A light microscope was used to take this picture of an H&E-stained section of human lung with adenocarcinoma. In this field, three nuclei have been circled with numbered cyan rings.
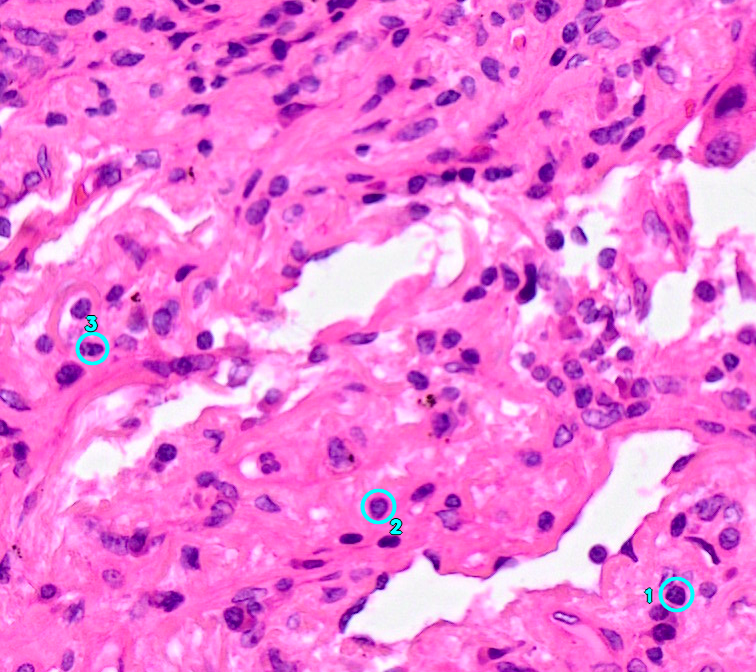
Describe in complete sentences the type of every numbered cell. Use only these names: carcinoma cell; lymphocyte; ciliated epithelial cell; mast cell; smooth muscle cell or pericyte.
Cell 1 is a lymphocyte, cell 2 is a mast cell and cell 3 is a lymphocyte.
